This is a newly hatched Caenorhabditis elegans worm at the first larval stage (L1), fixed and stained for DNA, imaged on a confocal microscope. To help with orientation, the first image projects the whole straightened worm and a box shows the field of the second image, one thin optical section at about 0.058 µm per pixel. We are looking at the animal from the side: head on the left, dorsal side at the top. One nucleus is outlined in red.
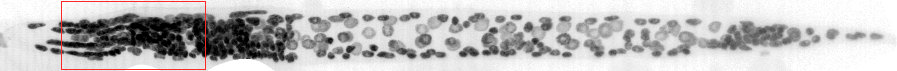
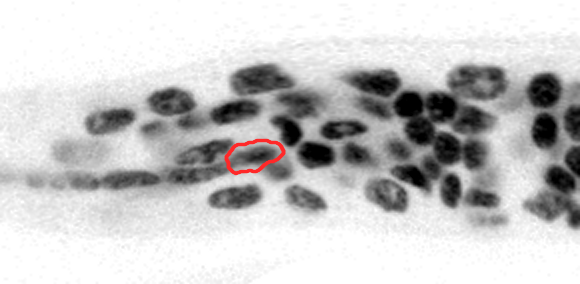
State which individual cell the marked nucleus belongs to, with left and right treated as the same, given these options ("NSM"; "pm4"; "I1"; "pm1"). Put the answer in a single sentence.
The marked cell is I1, a neuron.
